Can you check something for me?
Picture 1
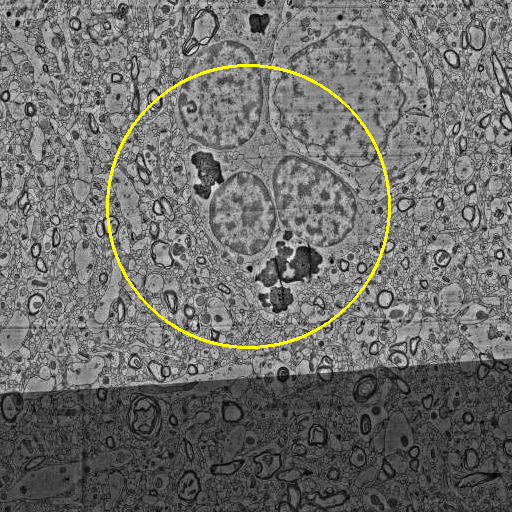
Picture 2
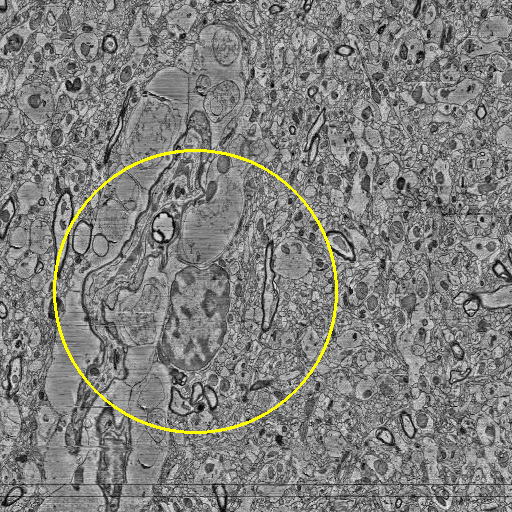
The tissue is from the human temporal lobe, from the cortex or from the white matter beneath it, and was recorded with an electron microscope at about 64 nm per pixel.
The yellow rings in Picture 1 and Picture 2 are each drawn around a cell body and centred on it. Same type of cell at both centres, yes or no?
no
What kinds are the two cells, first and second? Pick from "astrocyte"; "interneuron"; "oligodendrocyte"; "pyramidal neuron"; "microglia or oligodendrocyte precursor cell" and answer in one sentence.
The second picture holds a microglial cell or oligodendrocyte precursor cell in its ring, and the first holds an oligodendrocyte.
